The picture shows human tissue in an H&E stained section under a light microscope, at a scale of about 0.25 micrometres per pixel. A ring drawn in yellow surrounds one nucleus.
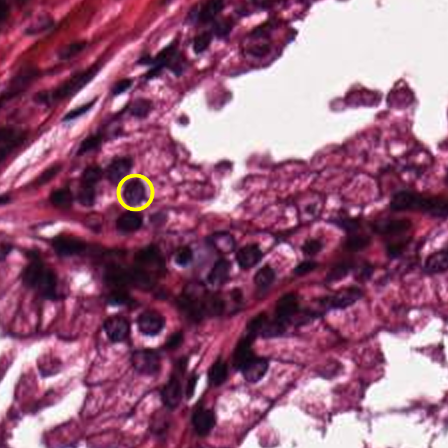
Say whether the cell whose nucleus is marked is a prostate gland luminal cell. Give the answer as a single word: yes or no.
yes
